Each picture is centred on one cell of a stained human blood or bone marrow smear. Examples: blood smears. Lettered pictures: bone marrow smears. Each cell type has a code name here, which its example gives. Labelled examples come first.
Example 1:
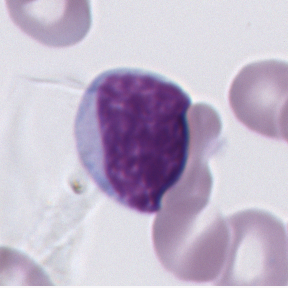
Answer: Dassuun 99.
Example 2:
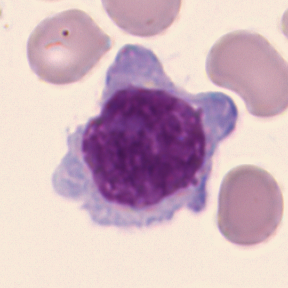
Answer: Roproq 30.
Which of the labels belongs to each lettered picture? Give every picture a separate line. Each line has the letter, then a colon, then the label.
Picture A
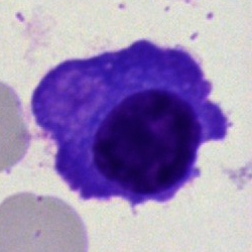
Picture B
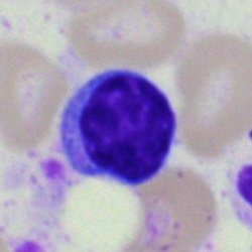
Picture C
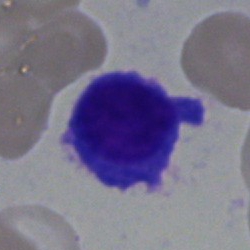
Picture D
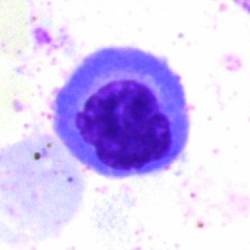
A: Roproq 30.
B: Dassuun 99.
C: Roproq 30.
D: Roproq 30.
